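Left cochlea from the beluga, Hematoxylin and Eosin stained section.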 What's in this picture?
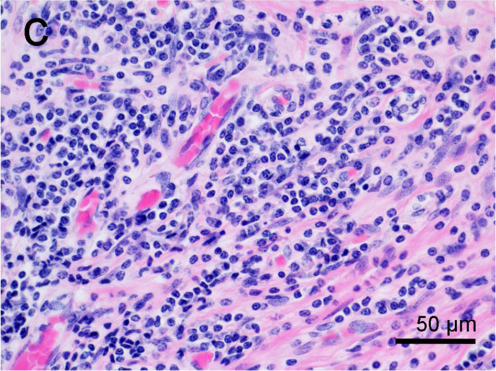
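Inflammatory infiltrate made of densely packed lymphocytes and plasma cells spread through fibrous tissue. Most cells are small and round, with dark blue, dense, round nuclei and very little cytoplasm. Scattered among them are cells with eccentric round nuclei and a modest rim of purple-pink cytoplasm. A few larger cells with paler, oval nuclei are present. Thin pink collagen strands and elongated spindle-shaped stromal nuclei run diagonally through the field. Small blood vessels filled with bright red erythrocytes course among the infiltrating cells.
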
